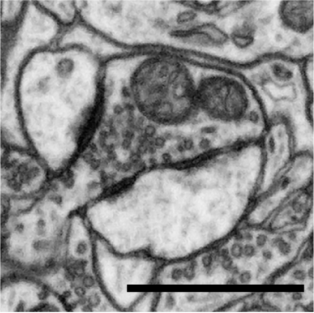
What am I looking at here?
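Electron micrograph of neuropil showing a multi-synaptic bouton: a single axonal swelling filled with small round vesicles and holding two mitochondria. It makes dark, thickened synaptic contacts with more than one neighbouring postsynaptic profile, which appear pale and vesicle-free.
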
